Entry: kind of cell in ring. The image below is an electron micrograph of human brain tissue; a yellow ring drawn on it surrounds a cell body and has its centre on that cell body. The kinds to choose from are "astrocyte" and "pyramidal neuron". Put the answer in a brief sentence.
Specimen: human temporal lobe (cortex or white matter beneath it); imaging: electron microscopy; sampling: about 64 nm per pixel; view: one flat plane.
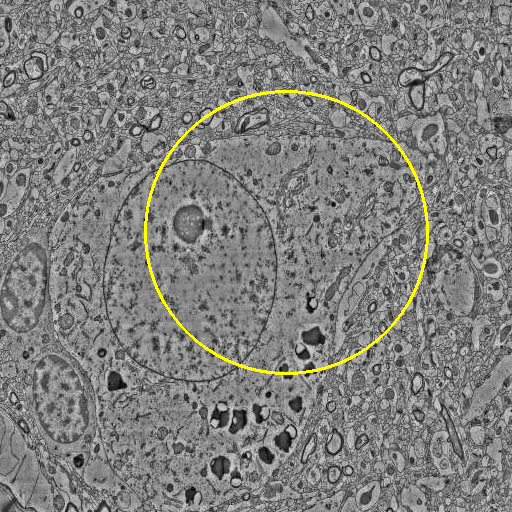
The ring has been drawn around a pyramidal neuron.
